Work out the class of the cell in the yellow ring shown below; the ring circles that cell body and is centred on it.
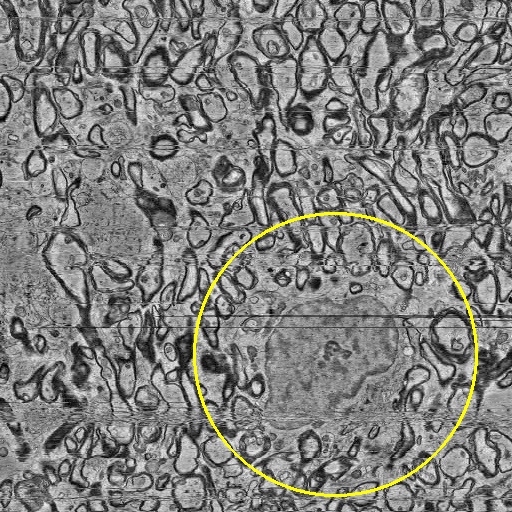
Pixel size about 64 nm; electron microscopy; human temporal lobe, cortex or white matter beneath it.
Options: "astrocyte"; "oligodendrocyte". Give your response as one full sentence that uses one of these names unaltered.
The body ringed in yellow, right at the ring's centre, is that of an oligodendrocyte.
